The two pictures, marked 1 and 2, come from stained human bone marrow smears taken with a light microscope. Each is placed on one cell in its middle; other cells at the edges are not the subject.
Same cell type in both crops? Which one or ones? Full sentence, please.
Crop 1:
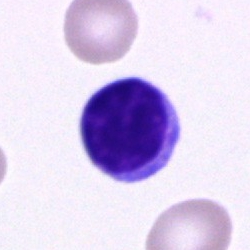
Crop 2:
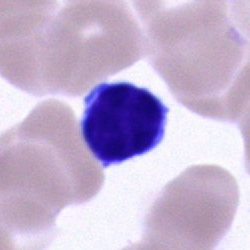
Yes, both crops show lymphocytes, and that holds for each one.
